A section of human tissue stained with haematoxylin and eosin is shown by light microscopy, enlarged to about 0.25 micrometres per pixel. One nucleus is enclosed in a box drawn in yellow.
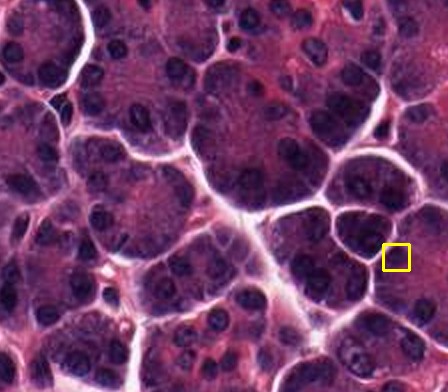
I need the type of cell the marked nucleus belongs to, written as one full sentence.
Part of a pancreatic acinar cell is the marked nucleus.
